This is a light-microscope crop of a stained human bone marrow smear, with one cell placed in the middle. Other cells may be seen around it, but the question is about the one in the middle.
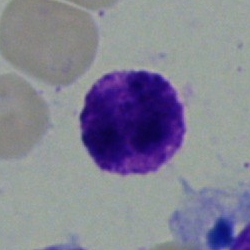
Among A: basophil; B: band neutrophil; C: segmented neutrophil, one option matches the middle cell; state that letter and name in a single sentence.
Since the cell in the centre is a basophil, the correct option is A.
